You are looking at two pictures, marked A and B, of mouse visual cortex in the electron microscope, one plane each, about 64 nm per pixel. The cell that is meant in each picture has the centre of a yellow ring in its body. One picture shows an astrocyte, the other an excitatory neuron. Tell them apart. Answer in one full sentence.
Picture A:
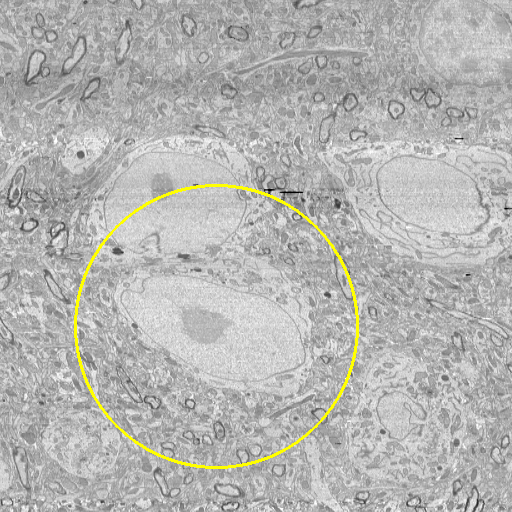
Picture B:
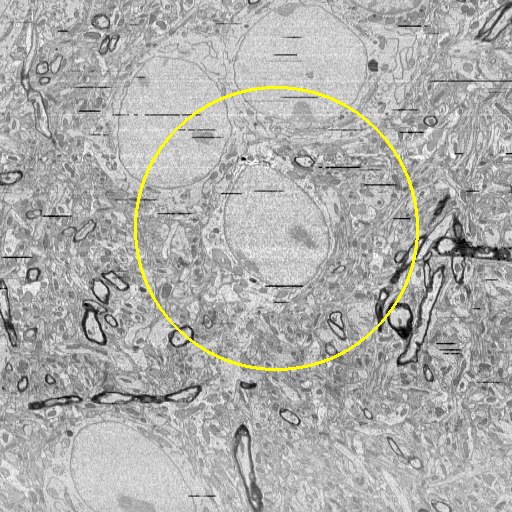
Picture A is of an excitatory neuron, and picture B is of an astrocyte.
